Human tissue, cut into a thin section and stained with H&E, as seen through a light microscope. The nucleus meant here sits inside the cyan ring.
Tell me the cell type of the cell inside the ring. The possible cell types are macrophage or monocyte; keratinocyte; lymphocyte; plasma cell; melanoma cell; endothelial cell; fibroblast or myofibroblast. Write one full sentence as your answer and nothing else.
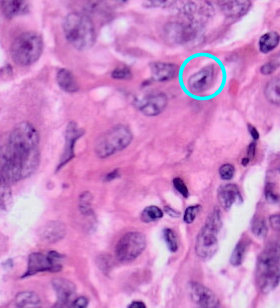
In the context of this tissue, the cell inside the ring is an endothelial cell.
